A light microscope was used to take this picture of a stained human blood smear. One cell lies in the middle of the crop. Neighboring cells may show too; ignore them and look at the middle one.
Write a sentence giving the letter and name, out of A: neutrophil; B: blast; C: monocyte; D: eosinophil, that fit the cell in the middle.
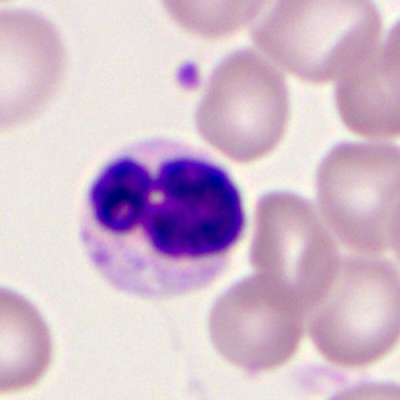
The cell at the centre, correctly named in option A, is a neutrophil.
